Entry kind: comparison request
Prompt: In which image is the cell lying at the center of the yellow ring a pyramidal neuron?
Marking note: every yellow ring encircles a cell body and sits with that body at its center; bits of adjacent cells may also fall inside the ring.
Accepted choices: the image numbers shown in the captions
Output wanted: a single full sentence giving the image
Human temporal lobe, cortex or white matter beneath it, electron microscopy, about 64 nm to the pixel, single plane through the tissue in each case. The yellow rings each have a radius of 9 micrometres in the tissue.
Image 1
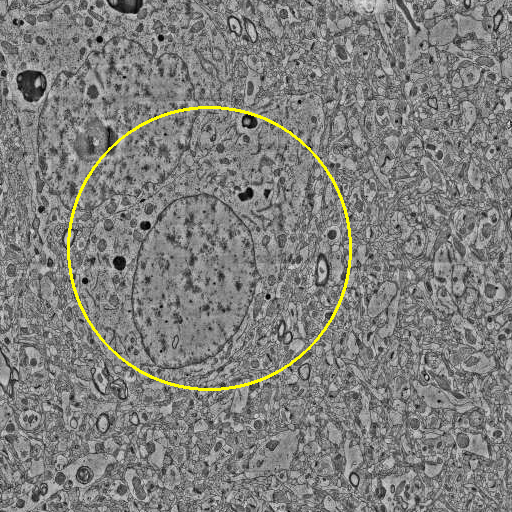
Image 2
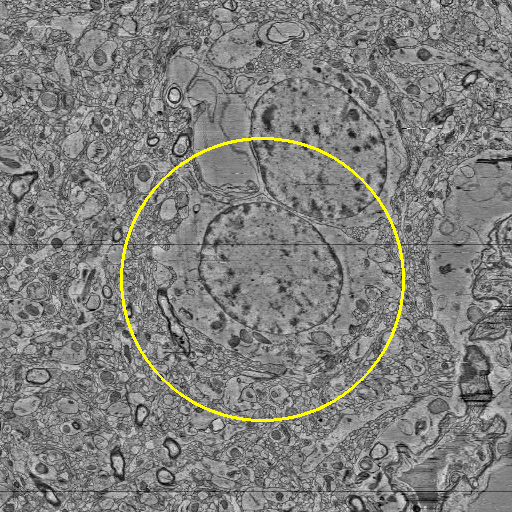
In image 1, the ringed cell at the center matches the prompt.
